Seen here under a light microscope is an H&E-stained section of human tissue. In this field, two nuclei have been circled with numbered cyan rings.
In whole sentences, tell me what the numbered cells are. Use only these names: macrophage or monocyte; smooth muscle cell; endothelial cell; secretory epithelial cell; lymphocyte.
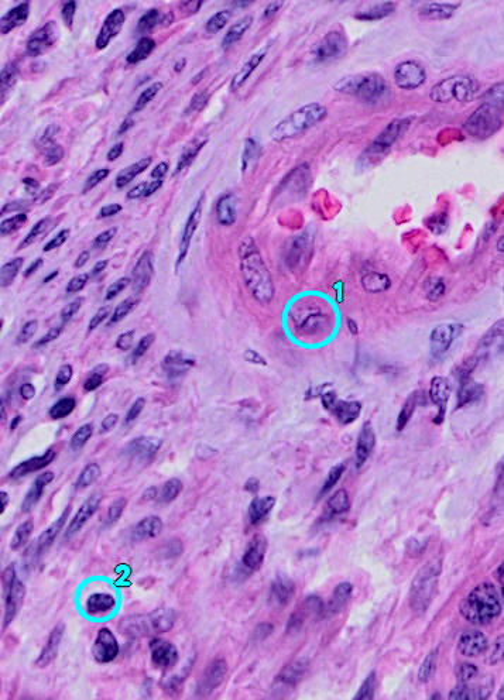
Cell 1 is a smooth muscle cell and cell 2 is a lymphocyte.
